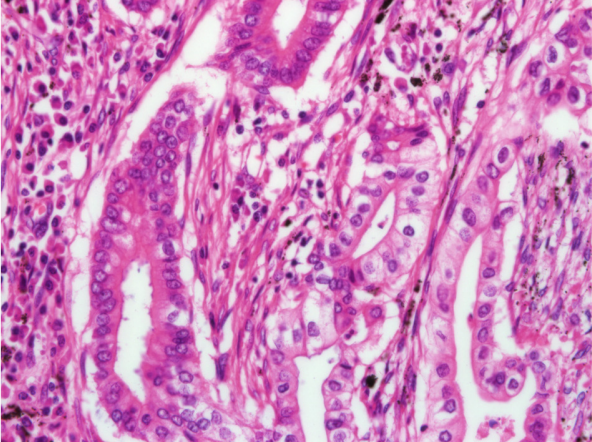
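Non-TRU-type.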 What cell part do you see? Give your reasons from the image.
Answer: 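Flat apical cytoplasm. Tall columnar cells line elongated glands. The luminal border of the cells forms a straight, even line.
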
